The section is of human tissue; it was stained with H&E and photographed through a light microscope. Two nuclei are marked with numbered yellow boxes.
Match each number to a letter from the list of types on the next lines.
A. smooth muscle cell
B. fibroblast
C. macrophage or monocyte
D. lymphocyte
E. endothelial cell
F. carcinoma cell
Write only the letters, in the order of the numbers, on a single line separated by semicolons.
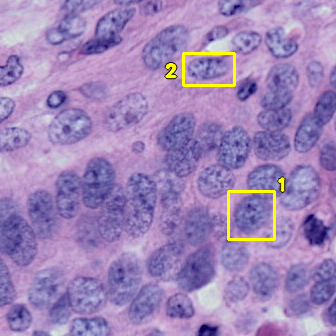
F; B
